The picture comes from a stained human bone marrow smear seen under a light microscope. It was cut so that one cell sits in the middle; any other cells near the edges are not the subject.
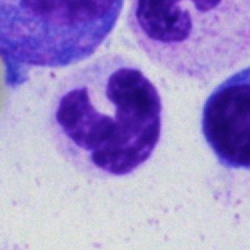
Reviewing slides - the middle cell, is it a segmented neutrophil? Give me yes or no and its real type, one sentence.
No, the cell centered in the crop is a band neutrophil, not a segmented neutrophil.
